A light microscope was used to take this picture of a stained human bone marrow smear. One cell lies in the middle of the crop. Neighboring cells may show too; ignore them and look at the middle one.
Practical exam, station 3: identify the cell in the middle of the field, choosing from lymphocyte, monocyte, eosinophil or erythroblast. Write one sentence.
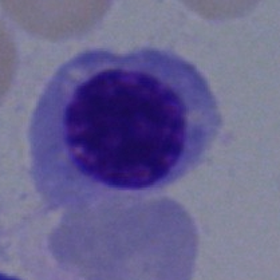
The centered cell in this crop is an erythroblast.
